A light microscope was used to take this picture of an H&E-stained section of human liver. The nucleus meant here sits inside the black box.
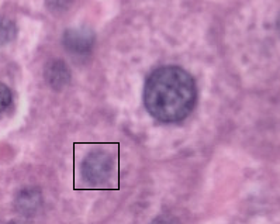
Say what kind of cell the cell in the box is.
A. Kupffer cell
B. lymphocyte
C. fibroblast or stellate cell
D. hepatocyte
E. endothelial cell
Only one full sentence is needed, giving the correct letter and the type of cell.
Option D matches the cell in the box, which is a hepatocyte.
